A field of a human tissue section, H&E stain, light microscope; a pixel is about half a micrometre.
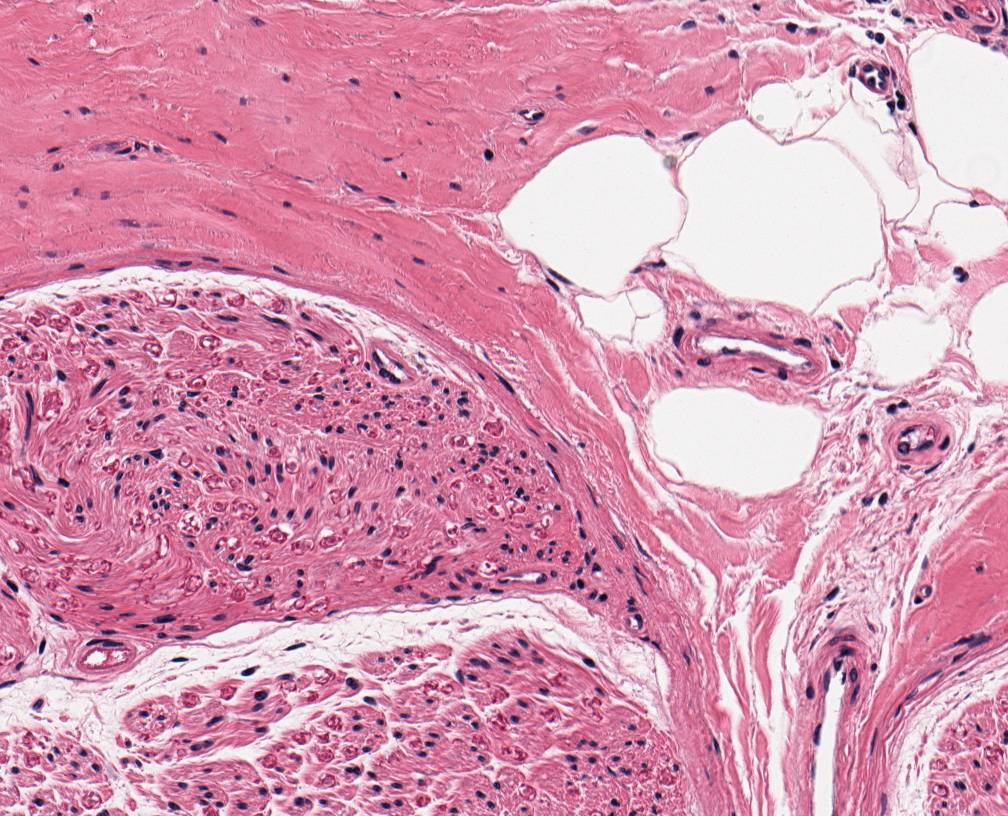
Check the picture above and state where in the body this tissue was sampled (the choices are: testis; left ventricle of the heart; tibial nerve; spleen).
tibial nerve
